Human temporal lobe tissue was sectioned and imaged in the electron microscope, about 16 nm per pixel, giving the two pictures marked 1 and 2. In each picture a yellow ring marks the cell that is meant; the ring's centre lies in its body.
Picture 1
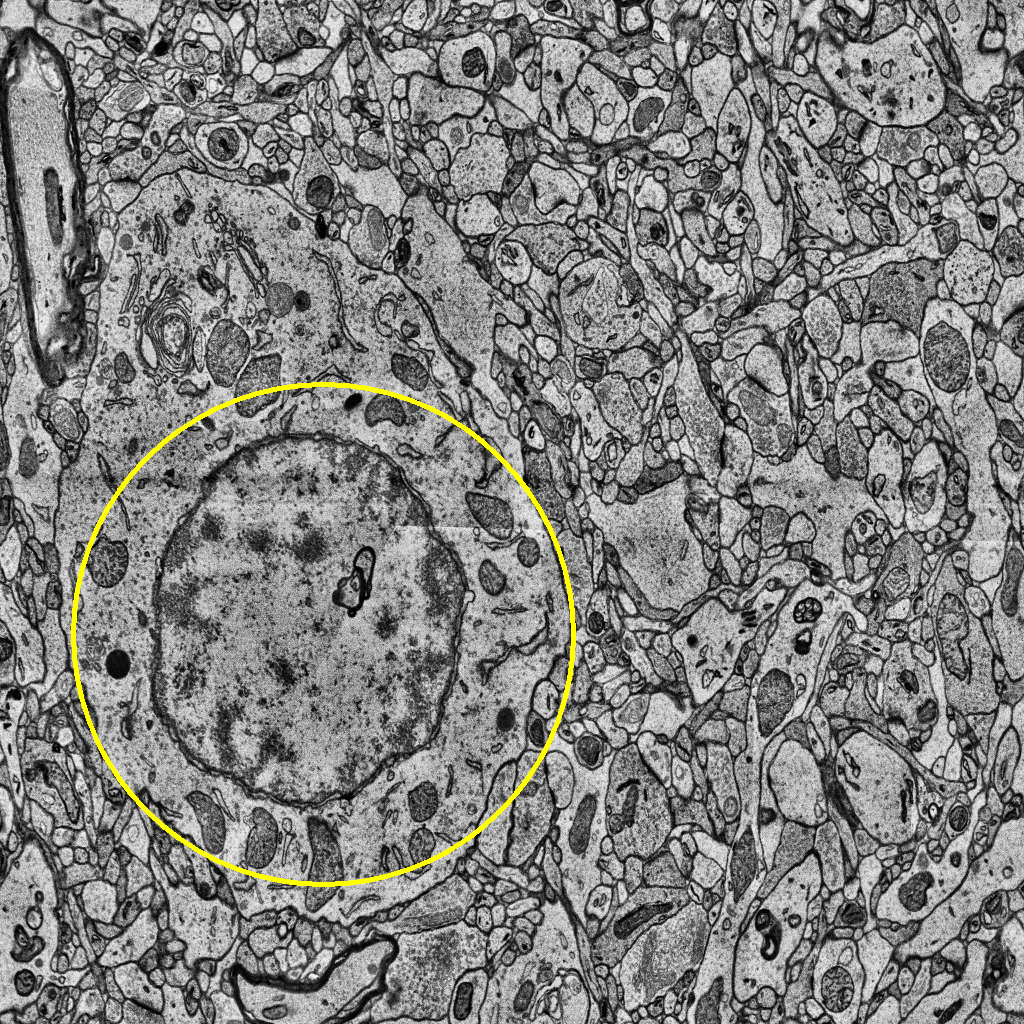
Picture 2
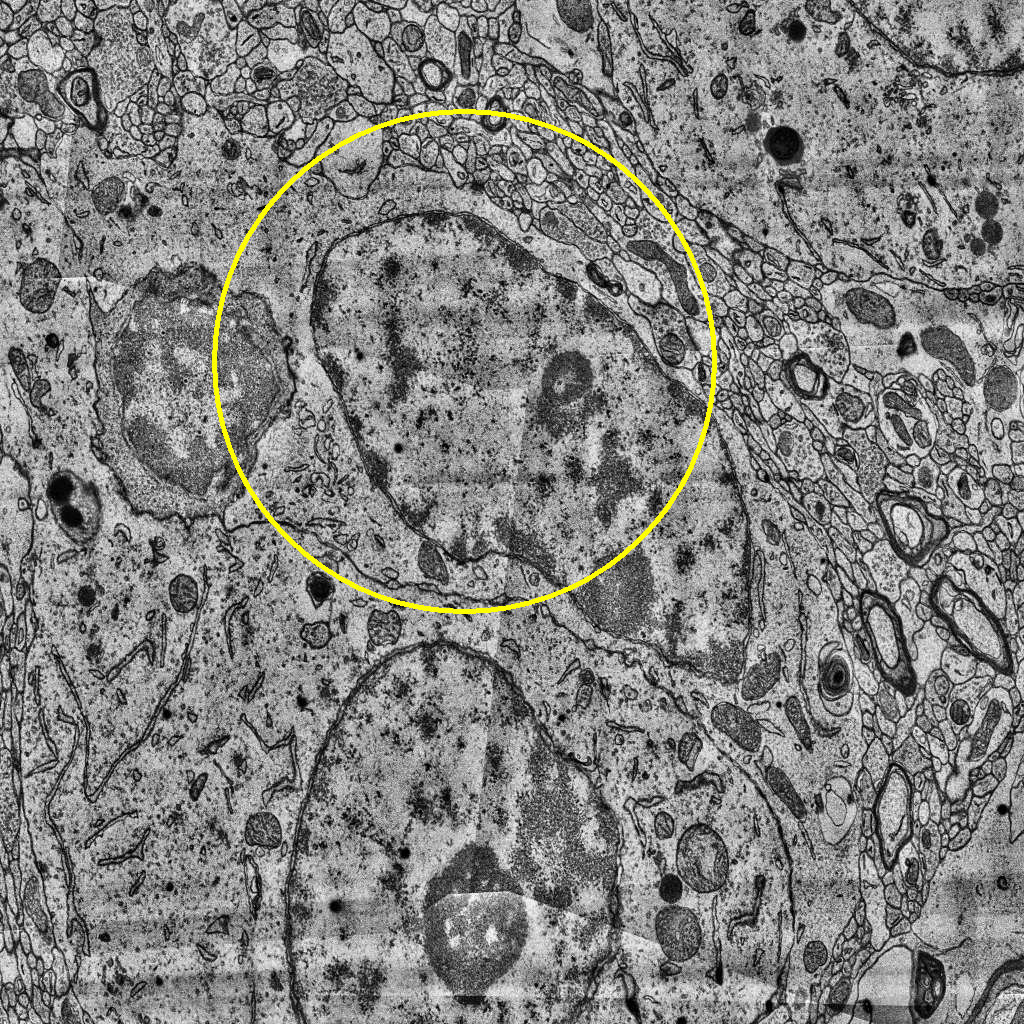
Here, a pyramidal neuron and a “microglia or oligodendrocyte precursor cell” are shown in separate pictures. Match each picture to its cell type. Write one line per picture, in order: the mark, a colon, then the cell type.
1: pyramidal neuron
2: microglia or oligodendrocyte precursor cell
